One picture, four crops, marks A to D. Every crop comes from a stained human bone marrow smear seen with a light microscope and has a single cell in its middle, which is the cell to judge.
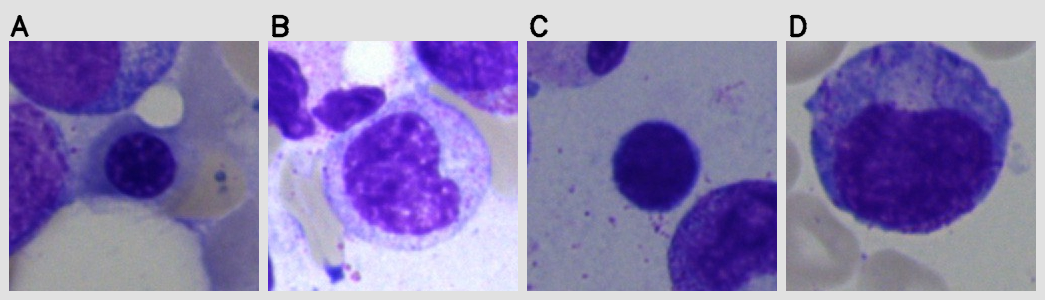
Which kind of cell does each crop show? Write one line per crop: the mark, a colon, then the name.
A: erythroblast
B: metamyelocyte
C: lymphocyte
D: promyelocyte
